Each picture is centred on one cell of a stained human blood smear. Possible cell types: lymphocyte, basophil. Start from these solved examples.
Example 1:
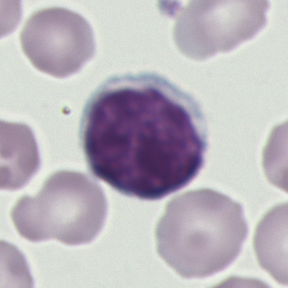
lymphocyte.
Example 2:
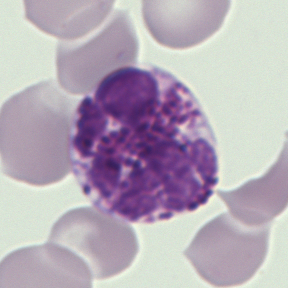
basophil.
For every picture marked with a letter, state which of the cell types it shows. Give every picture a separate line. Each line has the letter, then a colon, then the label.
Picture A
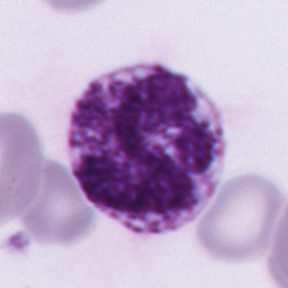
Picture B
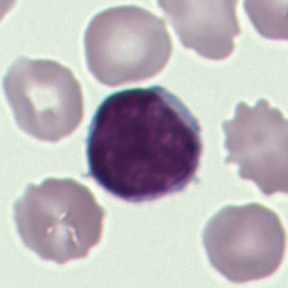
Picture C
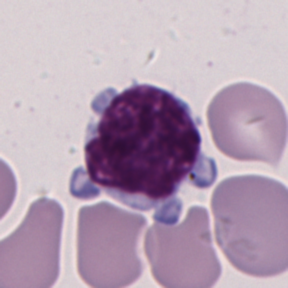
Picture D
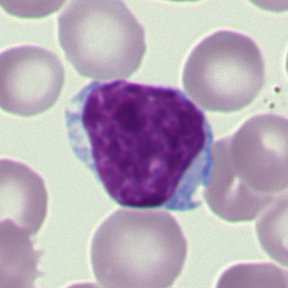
A: basophil.
B: lymphocyte.
C: lymphocyte.
D: lymphocyte.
